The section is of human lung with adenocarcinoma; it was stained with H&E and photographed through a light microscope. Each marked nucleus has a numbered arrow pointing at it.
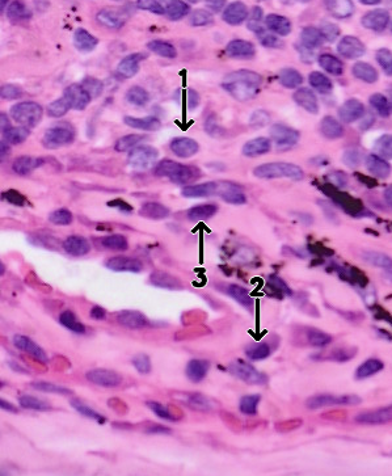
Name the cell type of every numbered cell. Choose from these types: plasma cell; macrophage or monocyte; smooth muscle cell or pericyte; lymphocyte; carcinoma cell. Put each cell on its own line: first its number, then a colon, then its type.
1: lymphocyte
2: plasma cell
3: plasma cell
